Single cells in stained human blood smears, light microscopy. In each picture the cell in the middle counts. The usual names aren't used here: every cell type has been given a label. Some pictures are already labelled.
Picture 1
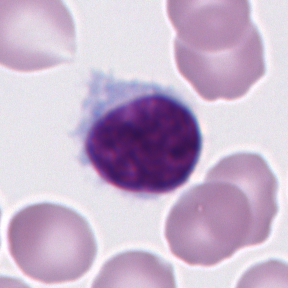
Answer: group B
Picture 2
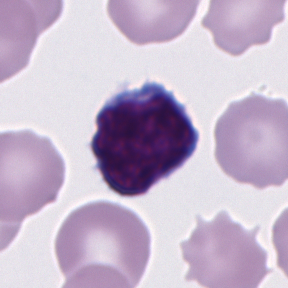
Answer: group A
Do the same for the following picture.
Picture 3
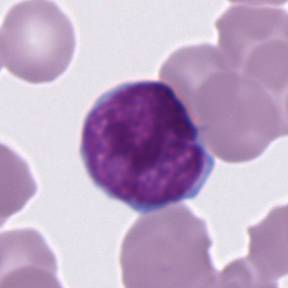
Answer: group A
